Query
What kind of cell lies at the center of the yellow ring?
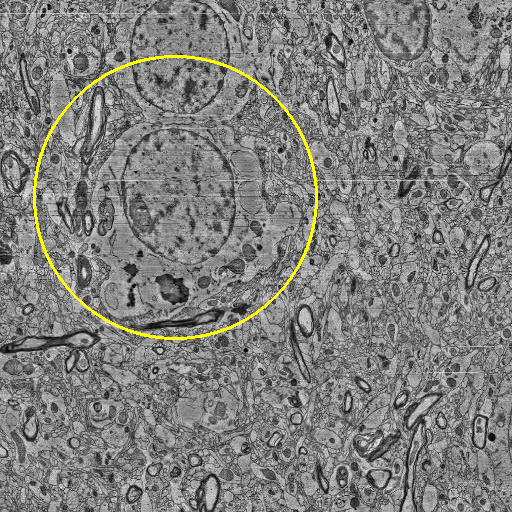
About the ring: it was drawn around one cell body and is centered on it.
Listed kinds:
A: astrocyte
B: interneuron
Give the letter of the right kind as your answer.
A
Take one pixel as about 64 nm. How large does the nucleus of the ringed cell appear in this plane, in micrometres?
In this plane, roughly 10 by 7 micrometres.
